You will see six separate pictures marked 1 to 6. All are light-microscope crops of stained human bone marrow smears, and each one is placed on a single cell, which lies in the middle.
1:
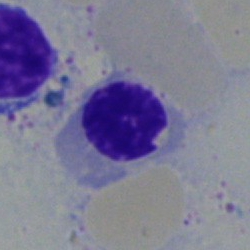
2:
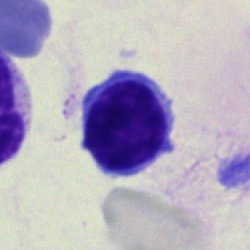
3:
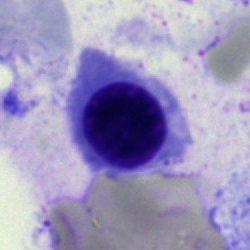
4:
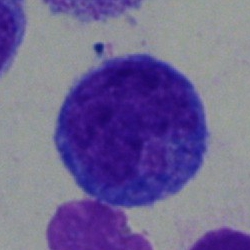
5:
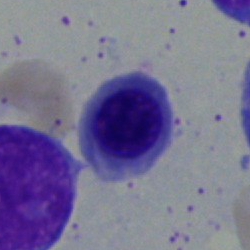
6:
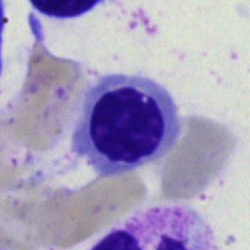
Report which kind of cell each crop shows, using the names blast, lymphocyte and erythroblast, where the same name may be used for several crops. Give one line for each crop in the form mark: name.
1: erythroblast
2: lymphocyte
3: erythroblast
4: blast
5: erythroblast
6: erythroblast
